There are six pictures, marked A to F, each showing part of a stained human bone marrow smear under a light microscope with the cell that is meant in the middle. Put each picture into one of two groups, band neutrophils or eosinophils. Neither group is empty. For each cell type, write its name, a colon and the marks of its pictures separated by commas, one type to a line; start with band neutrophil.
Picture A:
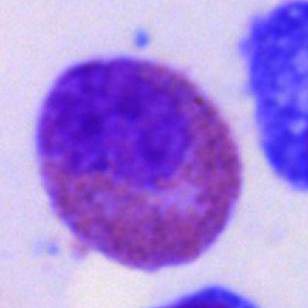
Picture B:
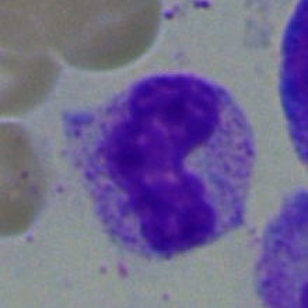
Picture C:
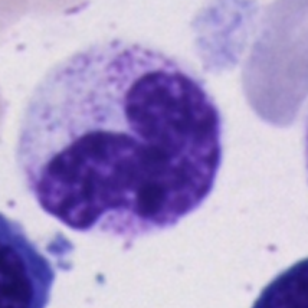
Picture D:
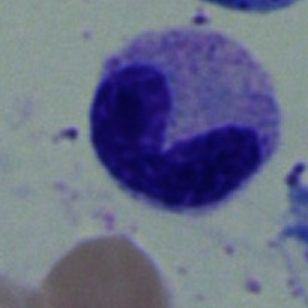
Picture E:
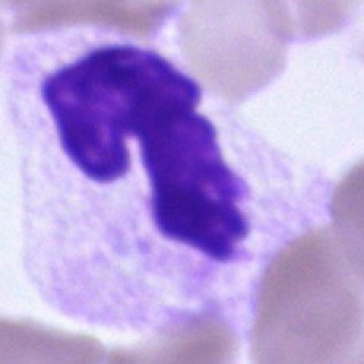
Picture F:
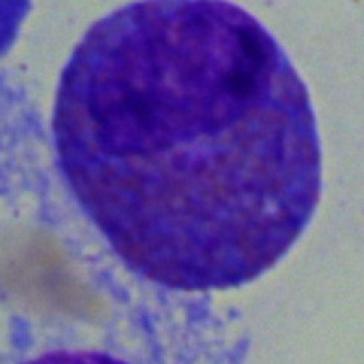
band neutrophil: B, C, D, E
eosinophil: A, F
